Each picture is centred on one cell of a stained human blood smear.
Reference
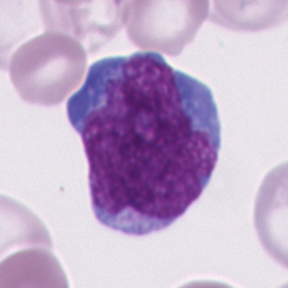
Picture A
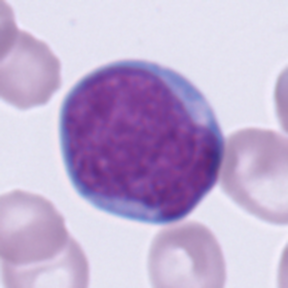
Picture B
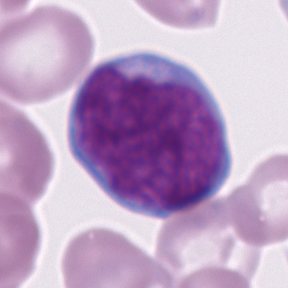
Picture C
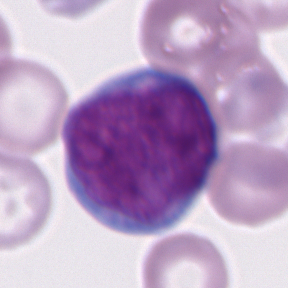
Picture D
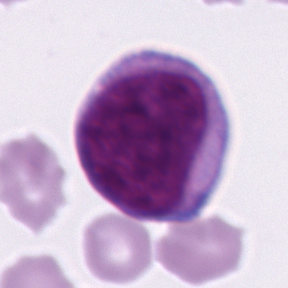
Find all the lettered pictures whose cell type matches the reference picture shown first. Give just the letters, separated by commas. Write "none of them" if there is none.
A, B, C, D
